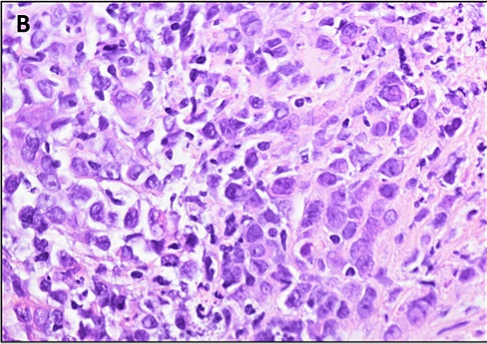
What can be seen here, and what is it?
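At high power, the tumor is made of loosely cohesive, moderately to severely pleomorphic cells whose nuclei differ widely in size and shape. The nuclei are dark and hyperchromatic, and many show prominent nucleoli. The cells have a moderate amount of pink, eosinophilic cytoplasm, and small dark inflammatory cells lie scattered between them.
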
